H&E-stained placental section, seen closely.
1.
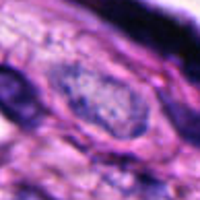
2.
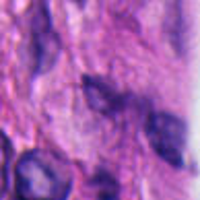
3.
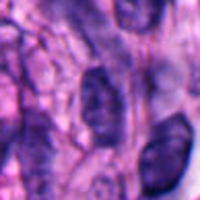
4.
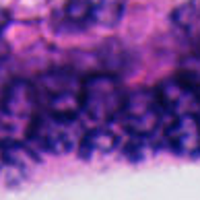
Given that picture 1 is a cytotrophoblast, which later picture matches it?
2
